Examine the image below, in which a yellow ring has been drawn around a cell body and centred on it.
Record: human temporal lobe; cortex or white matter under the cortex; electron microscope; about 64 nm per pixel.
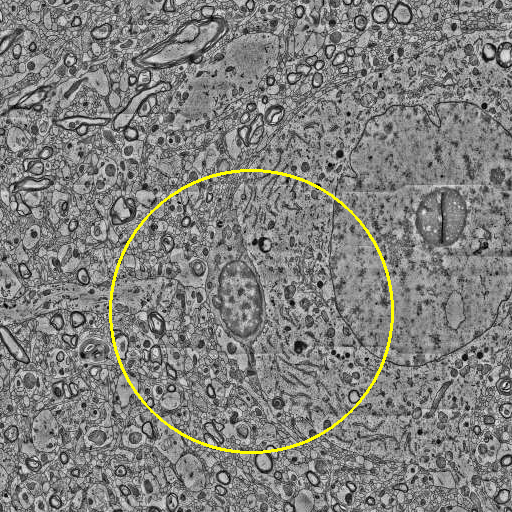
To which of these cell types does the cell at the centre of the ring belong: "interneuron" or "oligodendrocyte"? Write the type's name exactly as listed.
oligodendrocyte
